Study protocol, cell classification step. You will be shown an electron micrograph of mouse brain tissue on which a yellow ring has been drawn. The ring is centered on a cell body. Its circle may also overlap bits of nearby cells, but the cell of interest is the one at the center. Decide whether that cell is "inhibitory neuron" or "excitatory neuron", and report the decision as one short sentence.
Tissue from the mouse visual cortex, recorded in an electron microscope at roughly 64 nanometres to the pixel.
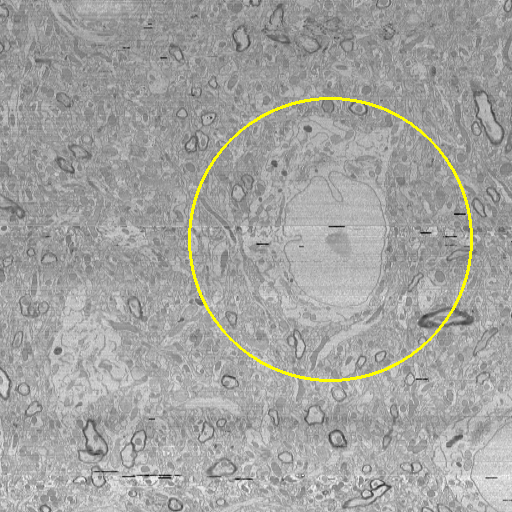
The marked cell is an excitatory neuron.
